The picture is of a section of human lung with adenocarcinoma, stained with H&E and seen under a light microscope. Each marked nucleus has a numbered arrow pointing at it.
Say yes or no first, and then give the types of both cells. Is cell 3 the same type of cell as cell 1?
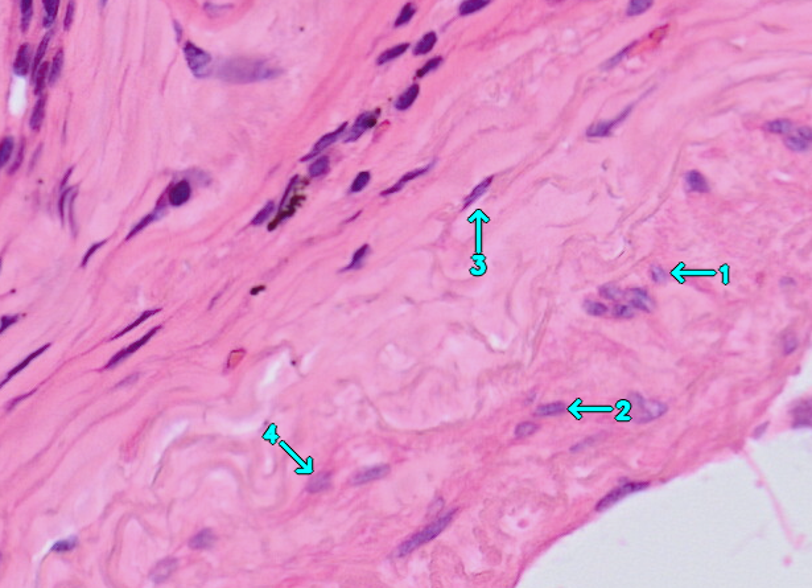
No, cell 3 is a fibroblast and cell 1 is a smooth muscle cell or pericyte.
